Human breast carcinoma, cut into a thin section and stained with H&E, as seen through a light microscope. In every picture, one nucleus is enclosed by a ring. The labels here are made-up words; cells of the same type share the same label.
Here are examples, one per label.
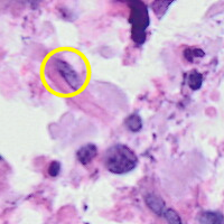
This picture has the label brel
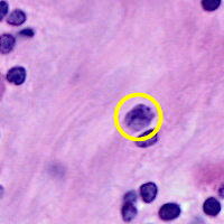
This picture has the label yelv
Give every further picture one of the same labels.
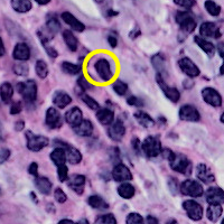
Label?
yelv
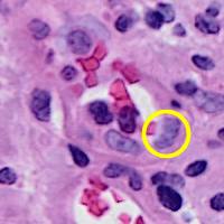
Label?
brel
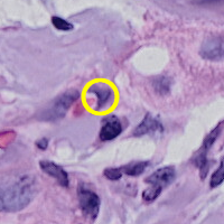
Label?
brel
